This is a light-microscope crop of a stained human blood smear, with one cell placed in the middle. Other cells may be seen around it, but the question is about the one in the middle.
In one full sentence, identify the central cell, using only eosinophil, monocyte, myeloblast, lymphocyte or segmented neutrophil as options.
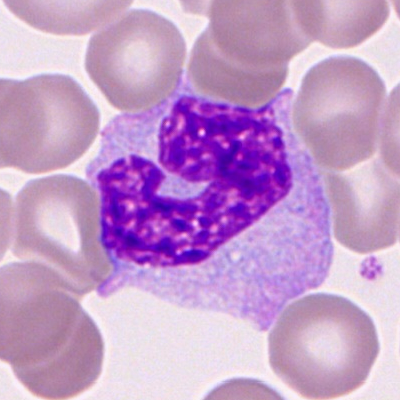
The single cell at the center of the crop is a monocyte.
